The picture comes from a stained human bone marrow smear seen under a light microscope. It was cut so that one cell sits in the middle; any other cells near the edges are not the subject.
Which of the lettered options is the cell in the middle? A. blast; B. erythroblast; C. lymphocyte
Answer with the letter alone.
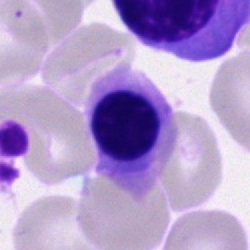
B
